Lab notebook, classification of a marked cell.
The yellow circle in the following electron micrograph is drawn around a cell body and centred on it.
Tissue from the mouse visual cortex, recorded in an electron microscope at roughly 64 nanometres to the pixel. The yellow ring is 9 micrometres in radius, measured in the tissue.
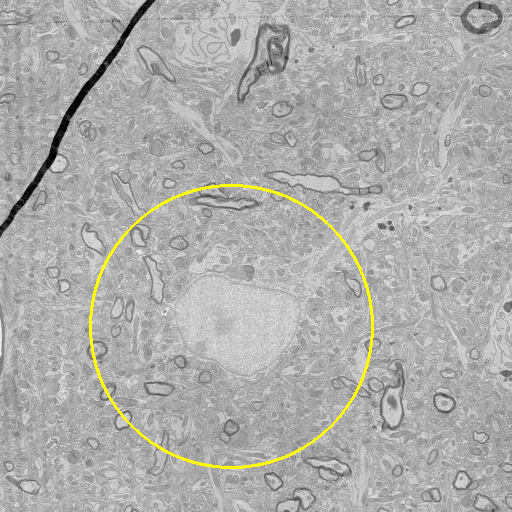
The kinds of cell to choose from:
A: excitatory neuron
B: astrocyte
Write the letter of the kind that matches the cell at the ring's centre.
B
